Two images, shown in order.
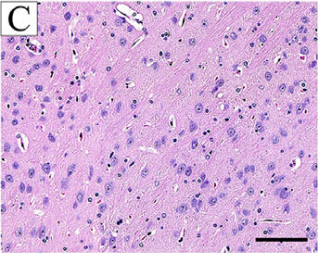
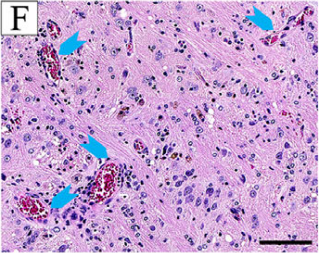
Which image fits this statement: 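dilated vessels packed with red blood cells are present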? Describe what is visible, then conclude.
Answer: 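Second image: several widened vessels filled with red erythrocytes. First image: only thin, empty small vessels in even pink tissue.
The second image.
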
